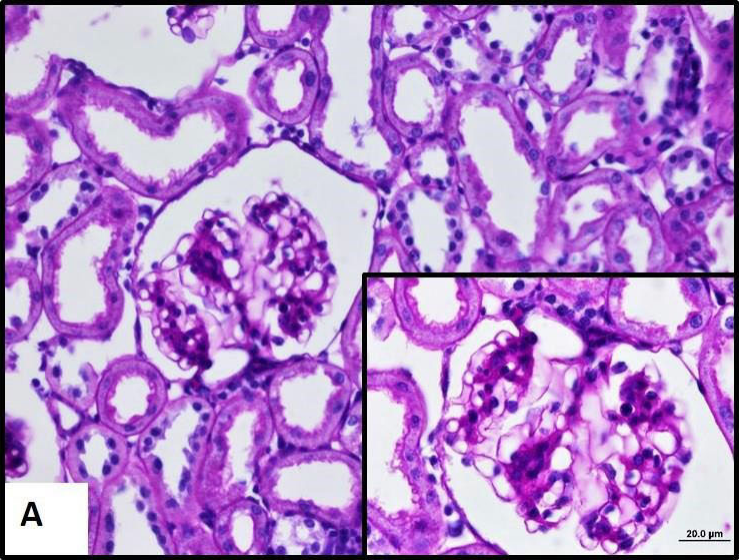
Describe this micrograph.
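This section of kidney shows a glomerulus surrounded by tubules, stained magenta with purple-blue nuclei. The glomerular tuft of capillary loops lies in a clear urinary space enclosed by a thin capsule, with loops outlined by magenta walls and many small dark nuclei. Around it, tubules in cross section are lined by cuboidal cells with round nuclei; some have a magenta brush border at the luminal surface. The enlarged view shows the tuft divided into lobules with open capillary lumens.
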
